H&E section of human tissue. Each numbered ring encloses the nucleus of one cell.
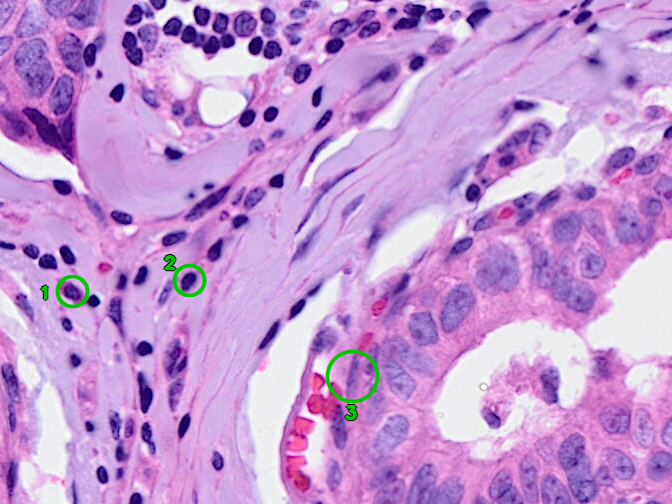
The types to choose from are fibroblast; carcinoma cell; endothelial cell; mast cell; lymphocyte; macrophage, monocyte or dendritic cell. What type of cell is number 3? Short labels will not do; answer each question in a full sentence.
The cell assigned the number 3 is an endothelial cell.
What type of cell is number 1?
The numeral 1 marks a mast cell in this section.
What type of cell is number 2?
The cell tagged with 2 in this tissue section is a lymphocyte.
